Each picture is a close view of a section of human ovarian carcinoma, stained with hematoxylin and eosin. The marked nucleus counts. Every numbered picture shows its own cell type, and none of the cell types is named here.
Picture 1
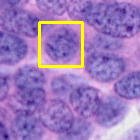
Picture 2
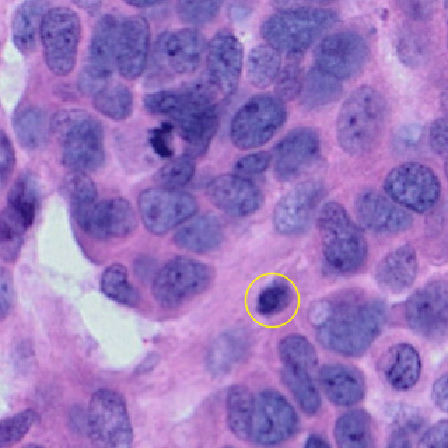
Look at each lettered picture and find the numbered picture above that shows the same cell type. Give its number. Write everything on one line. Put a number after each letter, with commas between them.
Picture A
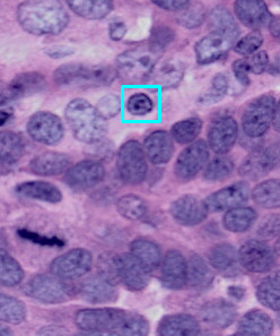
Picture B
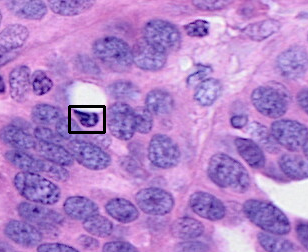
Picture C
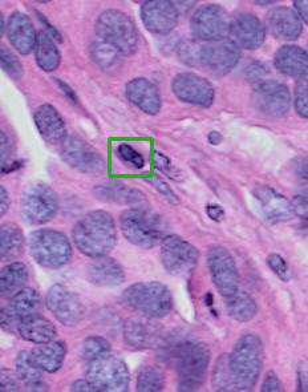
A 2, B 2, C 2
